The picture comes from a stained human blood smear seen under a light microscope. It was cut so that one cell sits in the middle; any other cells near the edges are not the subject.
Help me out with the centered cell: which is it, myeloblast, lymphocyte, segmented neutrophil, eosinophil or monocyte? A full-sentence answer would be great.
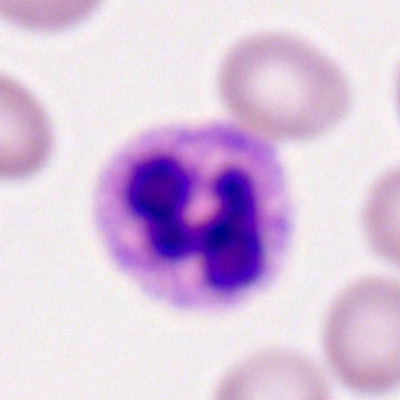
Present in the middle of the crop is a segmented neutrophil.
